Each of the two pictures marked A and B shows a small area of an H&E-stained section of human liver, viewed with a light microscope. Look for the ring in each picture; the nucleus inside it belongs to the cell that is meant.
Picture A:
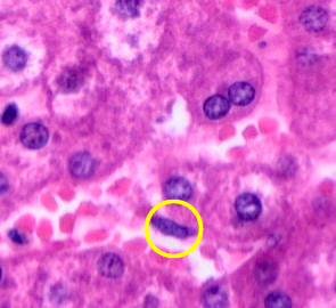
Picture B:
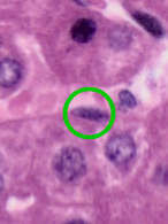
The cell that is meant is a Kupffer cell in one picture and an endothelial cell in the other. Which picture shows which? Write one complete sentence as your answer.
In picture A the cell is a Kupffer cell; in picture B, an endothelial cell.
